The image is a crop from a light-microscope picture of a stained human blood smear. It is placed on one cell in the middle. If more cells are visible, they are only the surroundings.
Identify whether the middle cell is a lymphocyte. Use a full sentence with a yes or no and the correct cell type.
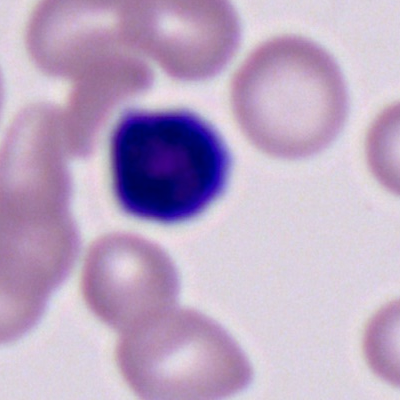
Yes, the cell sitting in the center is a lymphocyte.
